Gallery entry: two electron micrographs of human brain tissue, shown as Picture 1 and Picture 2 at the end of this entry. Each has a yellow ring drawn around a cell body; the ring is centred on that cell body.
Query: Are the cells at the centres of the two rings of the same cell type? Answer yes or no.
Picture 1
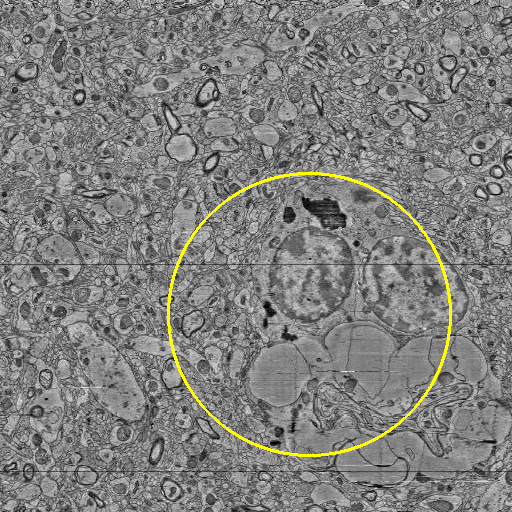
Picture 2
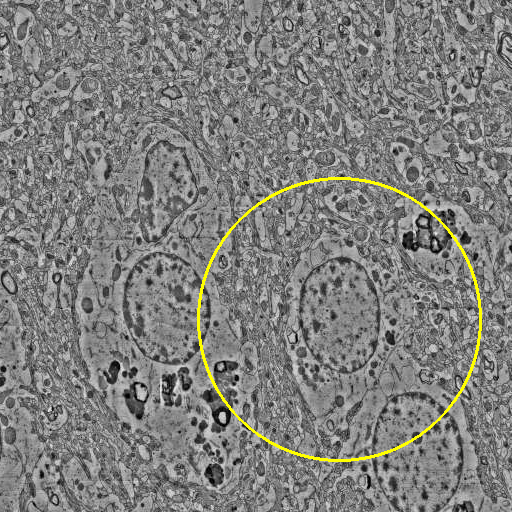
no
